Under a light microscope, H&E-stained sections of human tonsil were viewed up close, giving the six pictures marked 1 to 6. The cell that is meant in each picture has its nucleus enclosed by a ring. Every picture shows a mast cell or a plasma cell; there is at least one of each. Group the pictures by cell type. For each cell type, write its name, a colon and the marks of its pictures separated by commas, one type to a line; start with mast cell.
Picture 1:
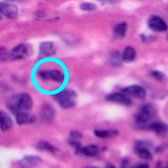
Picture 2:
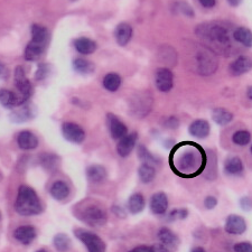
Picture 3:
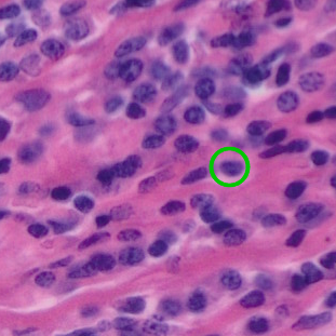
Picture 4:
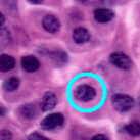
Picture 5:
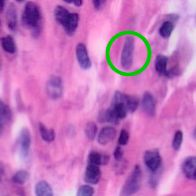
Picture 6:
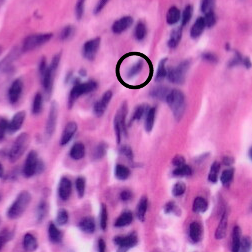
mast cell: 1, 3, 5, 6
plasma cell: 2, 4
